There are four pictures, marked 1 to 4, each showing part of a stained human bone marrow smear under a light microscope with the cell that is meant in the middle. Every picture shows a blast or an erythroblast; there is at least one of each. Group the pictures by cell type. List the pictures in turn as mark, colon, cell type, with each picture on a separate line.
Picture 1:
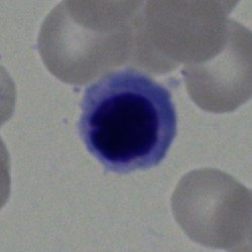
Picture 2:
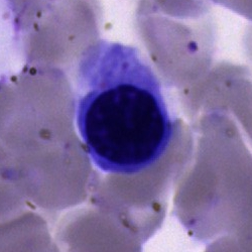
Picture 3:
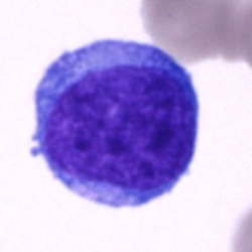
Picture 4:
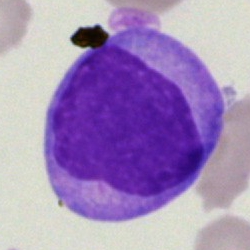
1: erythroblast
2: erythroblast
3: blast
4: blast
